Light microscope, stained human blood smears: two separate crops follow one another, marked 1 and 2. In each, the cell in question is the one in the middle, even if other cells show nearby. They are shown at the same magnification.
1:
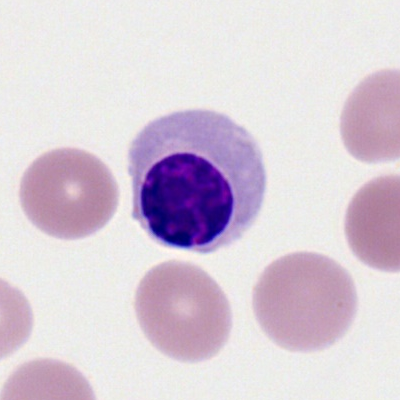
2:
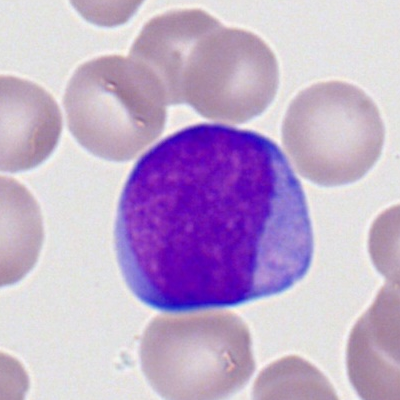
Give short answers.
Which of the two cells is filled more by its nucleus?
2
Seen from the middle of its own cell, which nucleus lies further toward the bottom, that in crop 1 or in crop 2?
1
